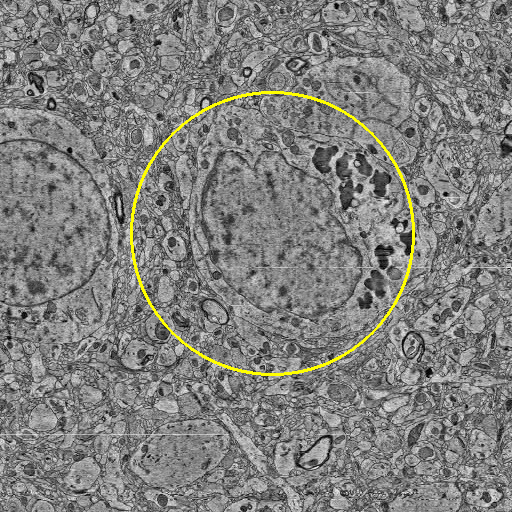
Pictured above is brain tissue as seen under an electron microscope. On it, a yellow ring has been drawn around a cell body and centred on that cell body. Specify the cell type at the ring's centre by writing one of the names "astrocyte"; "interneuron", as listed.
interneuron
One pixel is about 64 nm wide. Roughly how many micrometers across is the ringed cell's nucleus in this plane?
In this plane, the nucleus is roughly 13 by 9 micrometres.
